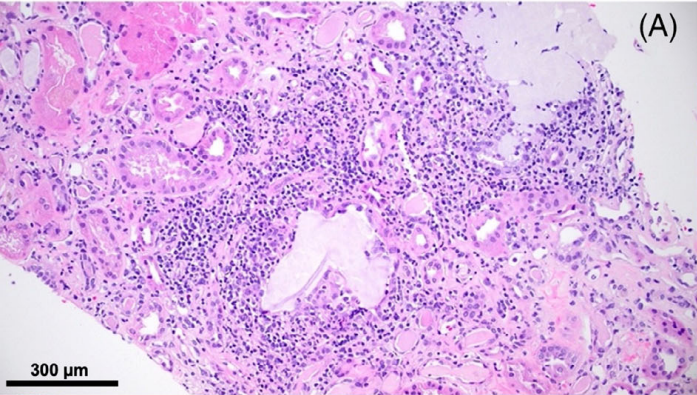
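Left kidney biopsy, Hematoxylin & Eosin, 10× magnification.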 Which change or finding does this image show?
Mixed inflammatory infiltrate.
